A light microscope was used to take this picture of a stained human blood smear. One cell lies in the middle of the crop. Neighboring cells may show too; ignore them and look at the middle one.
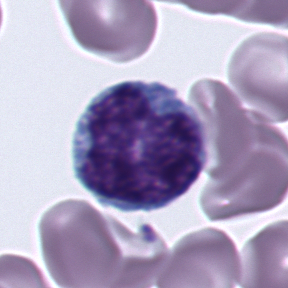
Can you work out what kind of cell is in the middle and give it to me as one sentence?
The cell at the heart of this crop is a monocyte.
